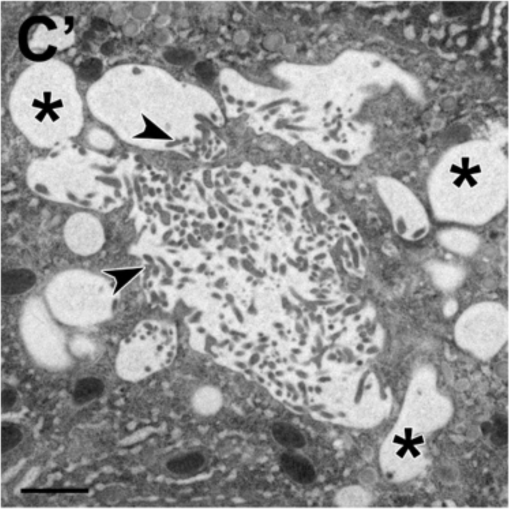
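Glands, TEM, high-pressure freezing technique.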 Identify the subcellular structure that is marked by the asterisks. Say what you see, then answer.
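Numerous large pale rounded membrane-bounded spaces in the cytoplasm. They cluster around a central space filled with small profiles. On this evidence: large intracellular vesicles.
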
